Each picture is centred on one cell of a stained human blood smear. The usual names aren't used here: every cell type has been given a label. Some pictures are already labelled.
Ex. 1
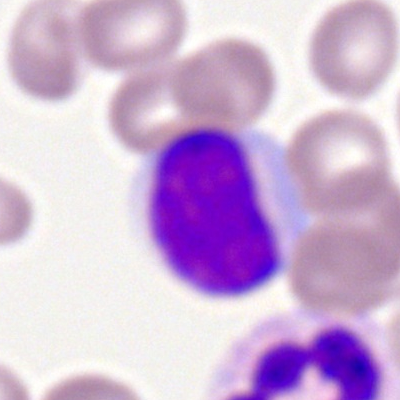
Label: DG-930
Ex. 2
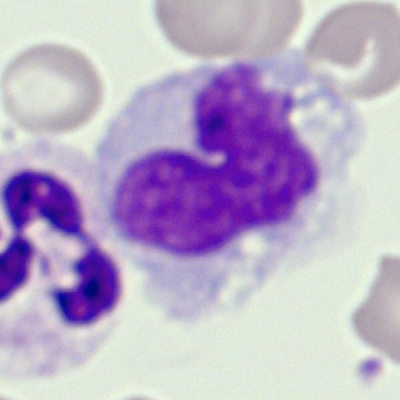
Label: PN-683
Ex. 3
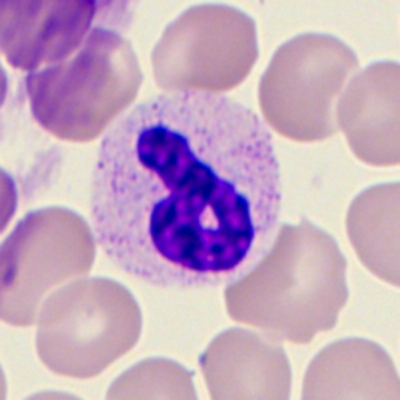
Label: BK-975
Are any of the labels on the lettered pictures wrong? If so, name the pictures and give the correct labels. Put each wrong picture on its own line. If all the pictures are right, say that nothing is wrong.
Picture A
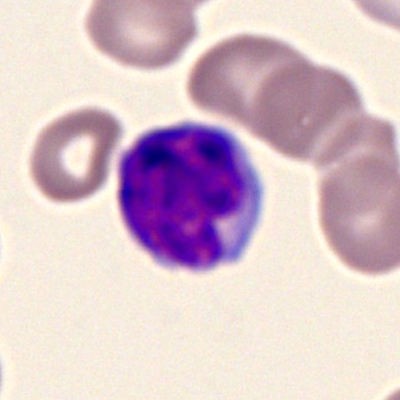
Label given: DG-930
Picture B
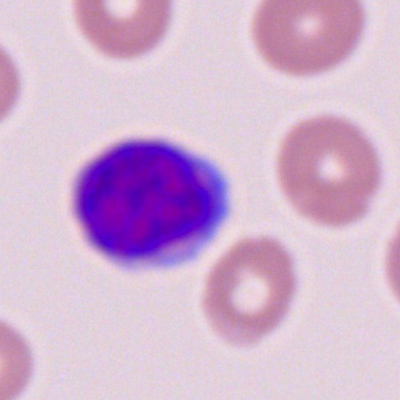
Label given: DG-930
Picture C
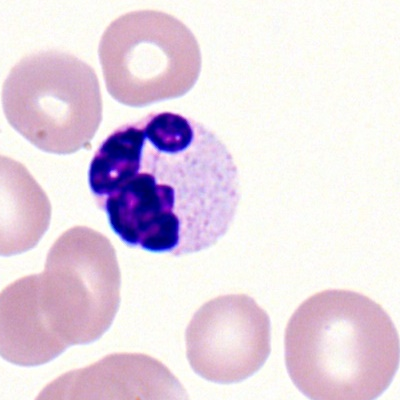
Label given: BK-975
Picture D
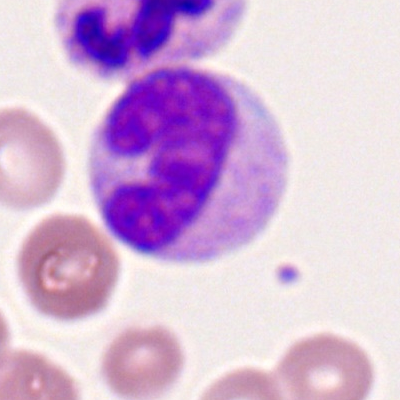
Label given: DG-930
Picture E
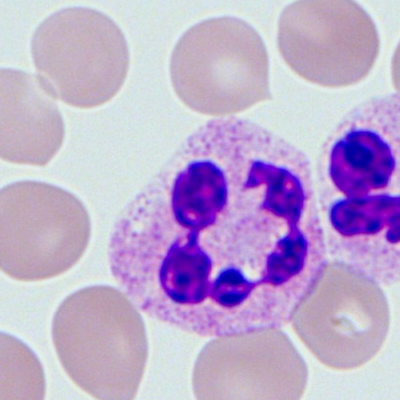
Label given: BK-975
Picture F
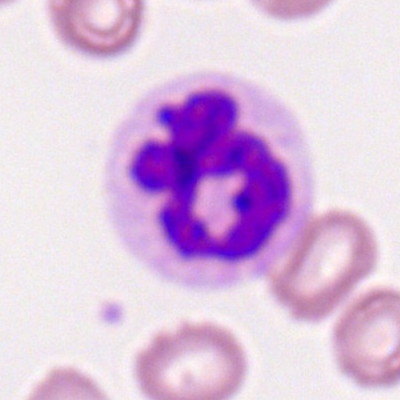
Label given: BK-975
D should be PN-683, not DG-930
